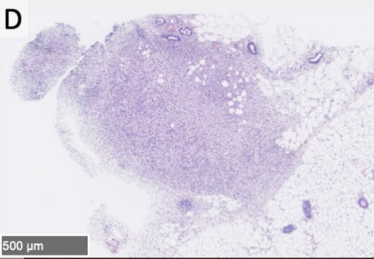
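Fat tissue with small vessels borders the lesion on the right and above. No cohesive epithelial sheets stand out at this magnification.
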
